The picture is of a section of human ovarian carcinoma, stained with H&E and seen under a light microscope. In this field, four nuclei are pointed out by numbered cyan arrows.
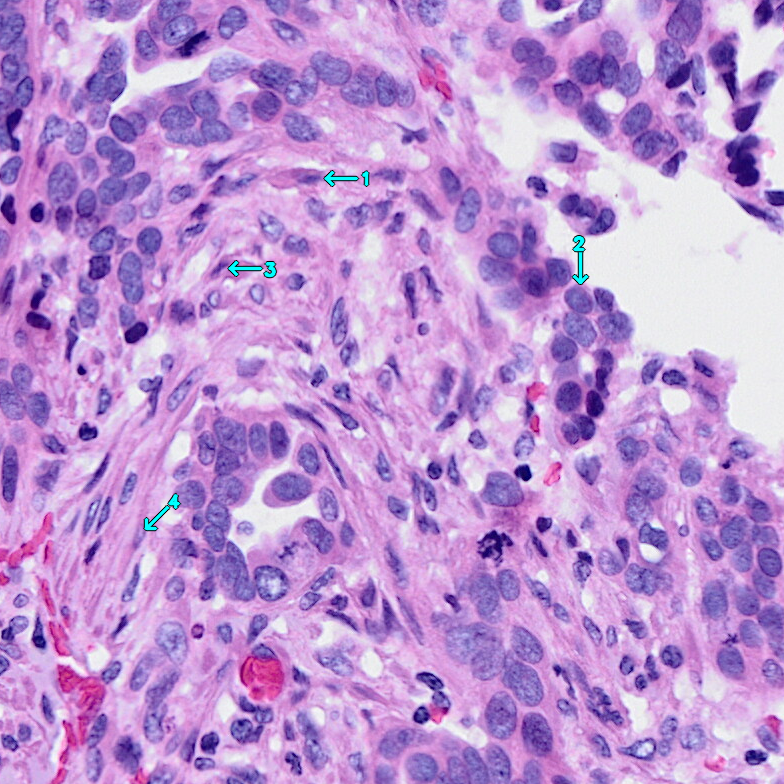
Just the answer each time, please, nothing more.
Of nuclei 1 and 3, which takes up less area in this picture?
3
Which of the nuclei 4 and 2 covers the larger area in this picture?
2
